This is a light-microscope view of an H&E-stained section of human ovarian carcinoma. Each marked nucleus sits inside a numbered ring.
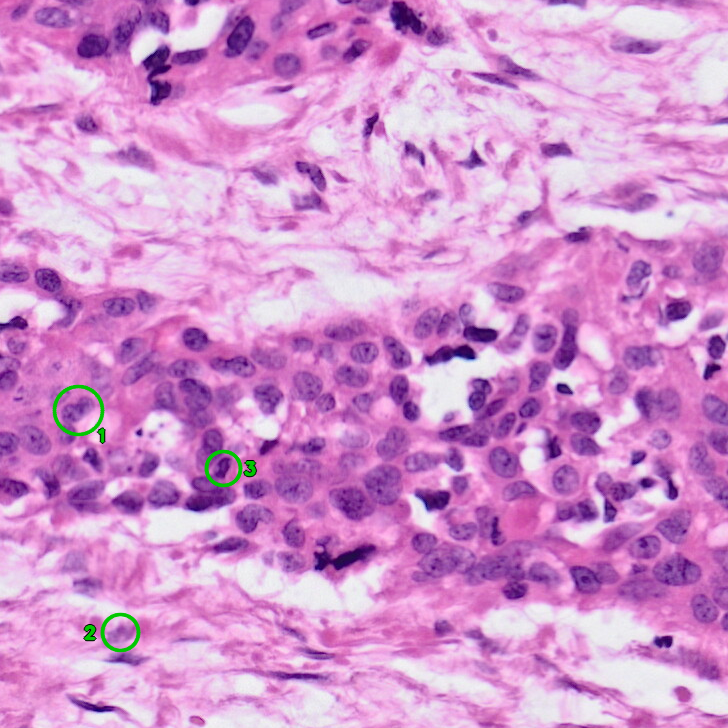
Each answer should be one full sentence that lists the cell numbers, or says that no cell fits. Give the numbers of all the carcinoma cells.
The cells that the numbers 1 and 3 belong to are carcinoma cells.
